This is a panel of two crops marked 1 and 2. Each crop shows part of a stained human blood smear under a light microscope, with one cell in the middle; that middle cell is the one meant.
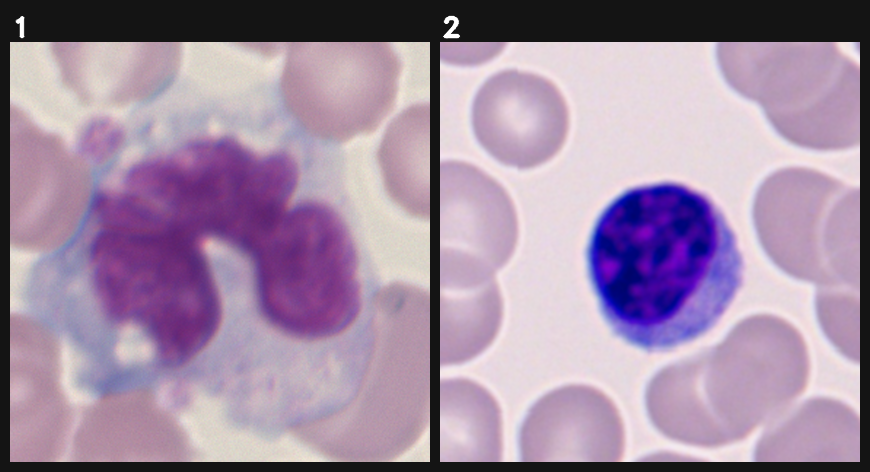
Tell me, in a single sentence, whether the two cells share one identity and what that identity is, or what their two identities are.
No, crop 1 and crop 2 show a monocyte and a lymphocyte respectively.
